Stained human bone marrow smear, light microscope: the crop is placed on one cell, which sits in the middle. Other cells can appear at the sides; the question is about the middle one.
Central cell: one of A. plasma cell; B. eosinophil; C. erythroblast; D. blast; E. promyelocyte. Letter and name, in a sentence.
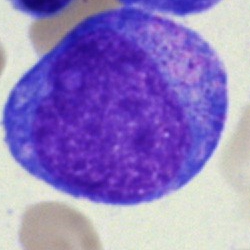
In the middle of the crop is a blast; option D is therefore correct.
